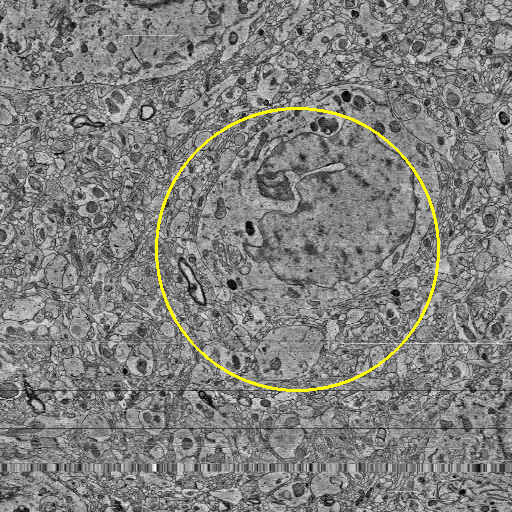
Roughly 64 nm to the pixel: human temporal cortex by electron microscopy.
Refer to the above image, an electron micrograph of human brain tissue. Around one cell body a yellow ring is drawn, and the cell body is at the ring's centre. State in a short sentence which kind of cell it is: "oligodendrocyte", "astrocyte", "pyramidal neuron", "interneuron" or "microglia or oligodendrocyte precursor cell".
The centre of the ring falls on an interneuron.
